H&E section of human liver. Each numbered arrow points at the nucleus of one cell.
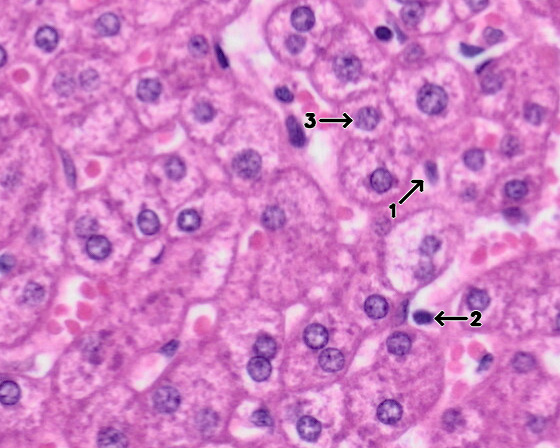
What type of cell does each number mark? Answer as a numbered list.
1. Kupffer cell
2. lymphocyte
3. hepatocyte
